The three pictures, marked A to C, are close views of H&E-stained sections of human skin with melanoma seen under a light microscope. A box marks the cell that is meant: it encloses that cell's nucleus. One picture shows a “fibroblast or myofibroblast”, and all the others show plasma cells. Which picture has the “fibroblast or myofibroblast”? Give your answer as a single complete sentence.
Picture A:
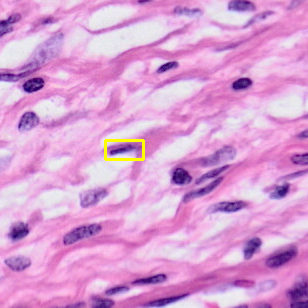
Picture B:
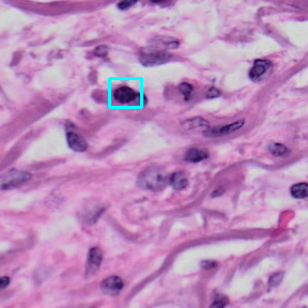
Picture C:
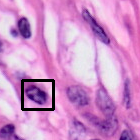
The picture with the “fibroblast or myofibroblast” is A.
